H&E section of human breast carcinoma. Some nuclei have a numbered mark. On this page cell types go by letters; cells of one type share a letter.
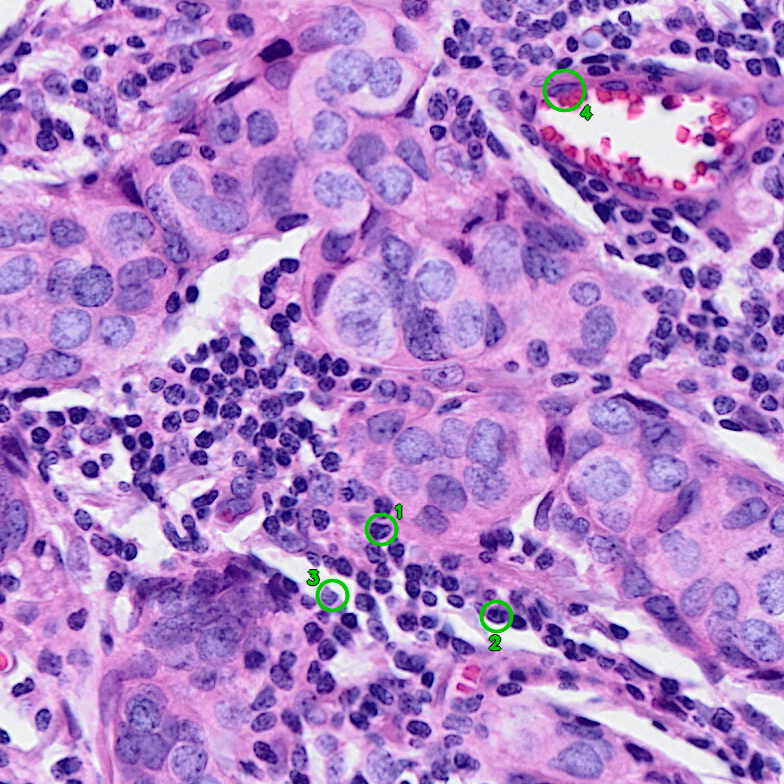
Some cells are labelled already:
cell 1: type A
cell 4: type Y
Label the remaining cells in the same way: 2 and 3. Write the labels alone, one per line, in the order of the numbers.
type A
type A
